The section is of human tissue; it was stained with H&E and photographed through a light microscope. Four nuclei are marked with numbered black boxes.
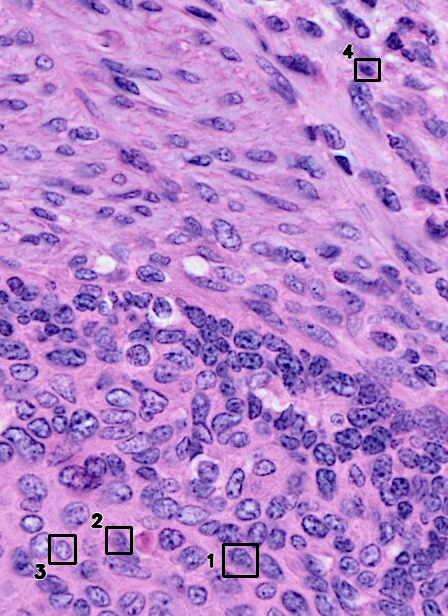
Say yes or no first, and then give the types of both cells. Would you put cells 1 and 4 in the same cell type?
No, cell 1 is a squamous carcinoma cell; cell 4, by contrast, is a lymphocyte.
